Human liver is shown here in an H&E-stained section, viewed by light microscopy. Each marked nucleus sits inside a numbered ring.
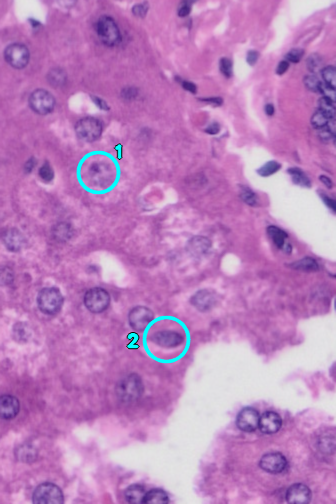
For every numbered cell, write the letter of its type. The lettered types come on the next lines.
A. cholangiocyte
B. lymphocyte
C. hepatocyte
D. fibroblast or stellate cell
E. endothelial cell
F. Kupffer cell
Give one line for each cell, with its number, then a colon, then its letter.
1: C
2: F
